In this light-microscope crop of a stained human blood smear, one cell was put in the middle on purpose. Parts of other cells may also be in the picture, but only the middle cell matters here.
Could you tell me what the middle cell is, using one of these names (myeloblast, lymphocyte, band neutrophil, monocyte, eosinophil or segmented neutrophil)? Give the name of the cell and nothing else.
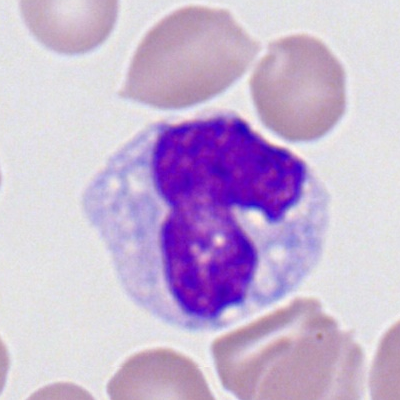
monocyte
